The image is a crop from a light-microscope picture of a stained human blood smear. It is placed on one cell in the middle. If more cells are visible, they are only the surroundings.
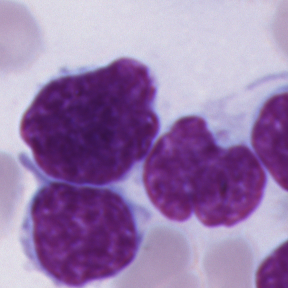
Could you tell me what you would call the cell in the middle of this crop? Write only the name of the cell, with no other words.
myeloblast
